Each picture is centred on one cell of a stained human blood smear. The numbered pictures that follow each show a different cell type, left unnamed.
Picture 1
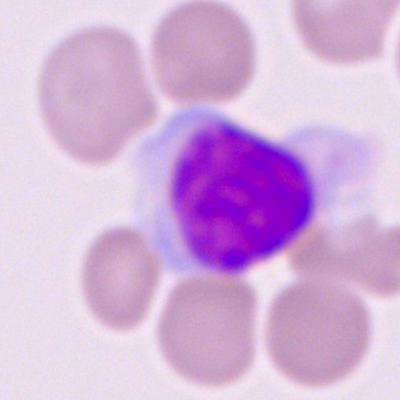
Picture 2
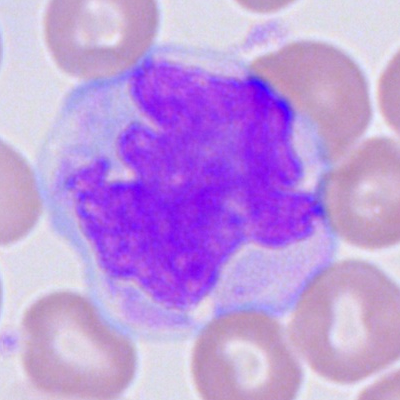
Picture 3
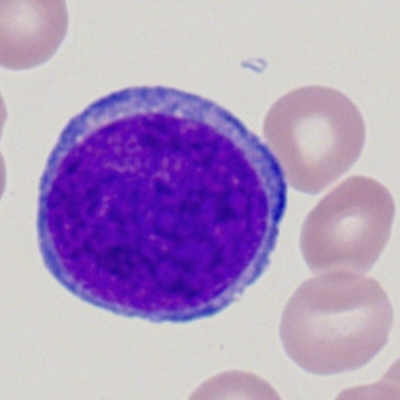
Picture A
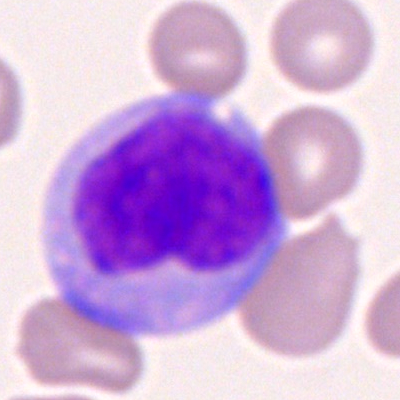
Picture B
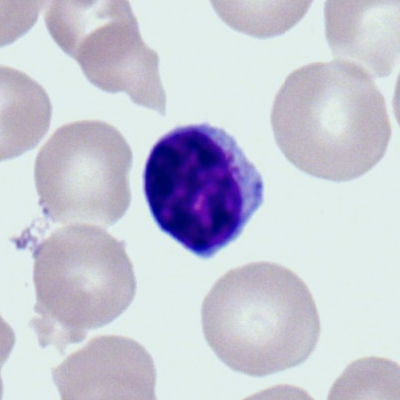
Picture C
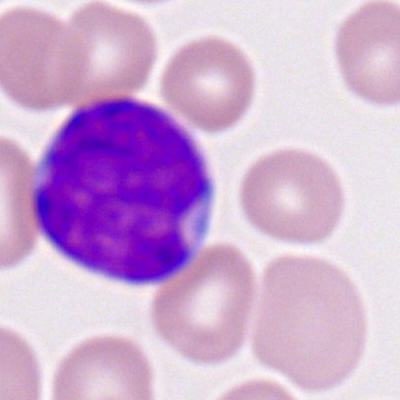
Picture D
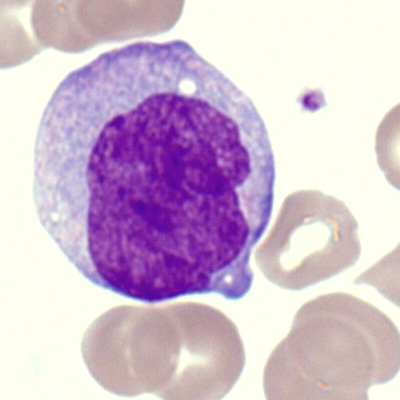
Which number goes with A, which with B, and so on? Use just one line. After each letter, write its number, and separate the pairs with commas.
A 2, B 1, C 3, D 2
